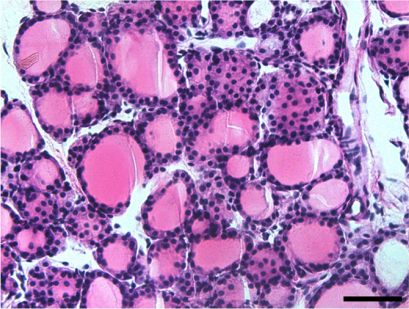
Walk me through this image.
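This is thyroid gland at high power, made of closely packed follicles of varying size. Each follicle is a round or oval sac filled with smooth, pink colloid and lined by a single layer of low epithelial cells whose round nuclei stain dark purple. Some rounded clusters appear as solid nests of cells with little or no central colloid. Thin strands of pale connective tissue run between the follicles.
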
